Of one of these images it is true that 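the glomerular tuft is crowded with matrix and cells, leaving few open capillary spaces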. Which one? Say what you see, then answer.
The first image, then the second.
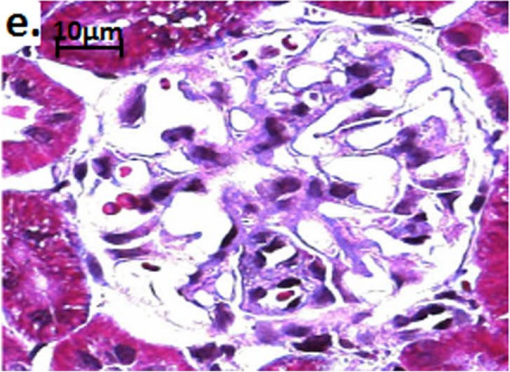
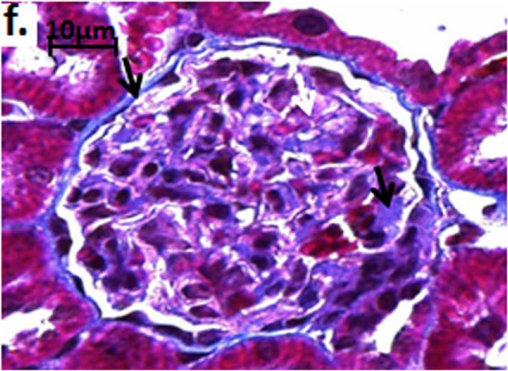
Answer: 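The second image. Second image: the tuft is dense and purple-blue, with nuclei crowded together and little open space. First image: the tuft shows many open, pale capillary loops with sparse nuclei.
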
